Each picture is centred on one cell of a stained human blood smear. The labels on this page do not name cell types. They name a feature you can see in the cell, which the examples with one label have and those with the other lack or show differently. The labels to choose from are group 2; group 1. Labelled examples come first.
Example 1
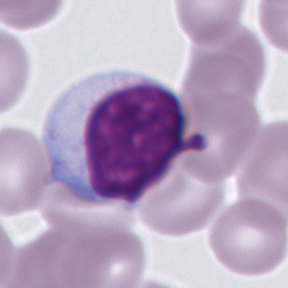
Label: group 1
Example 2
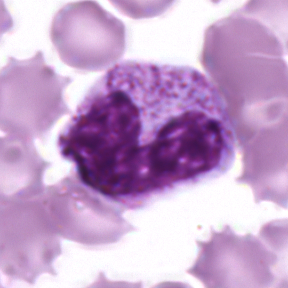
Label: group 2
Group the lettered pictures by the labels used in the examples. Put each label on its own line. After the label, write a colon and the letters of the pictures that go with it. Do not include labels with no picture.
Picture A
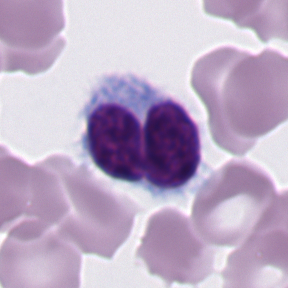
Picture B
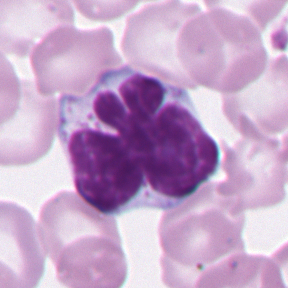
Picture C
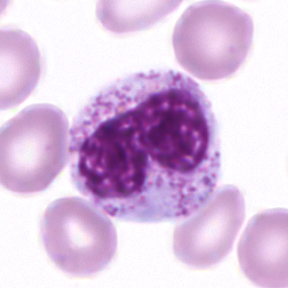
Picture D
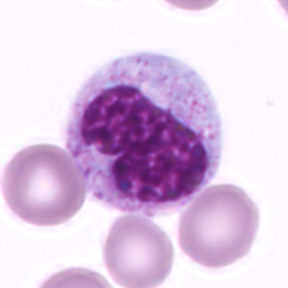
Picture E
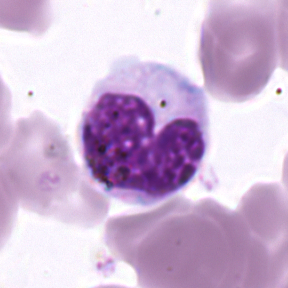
group 2: A, B, C
group 1: D, E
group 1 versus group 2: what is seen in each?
Seen in group 1: single compact nucleus; seen in group 2: lobed nucleus.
